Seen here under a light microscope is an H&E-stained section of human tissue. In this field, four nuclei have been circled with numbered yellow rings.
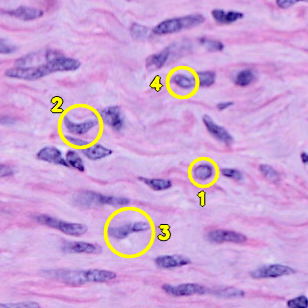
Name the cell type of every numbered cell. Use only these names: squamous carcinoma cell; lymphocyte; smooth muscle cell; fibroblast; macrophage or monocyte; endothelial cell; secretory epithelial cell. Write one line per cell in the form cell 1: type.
cell 1: smooth muscle cell
cell 2: fibroblast
cell 3: fibroblast
cell 4: smooth muscle cell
